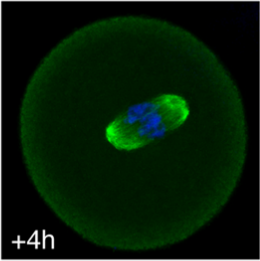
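An oocyte in meiosis I shows a barrel-shaped spindle of green fibres running between two broad poles, with the blue chromosomes lined up across its middle. Faint green fills the surrounding cytoplasm of the large round cell, which outlines the cell's edge.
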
